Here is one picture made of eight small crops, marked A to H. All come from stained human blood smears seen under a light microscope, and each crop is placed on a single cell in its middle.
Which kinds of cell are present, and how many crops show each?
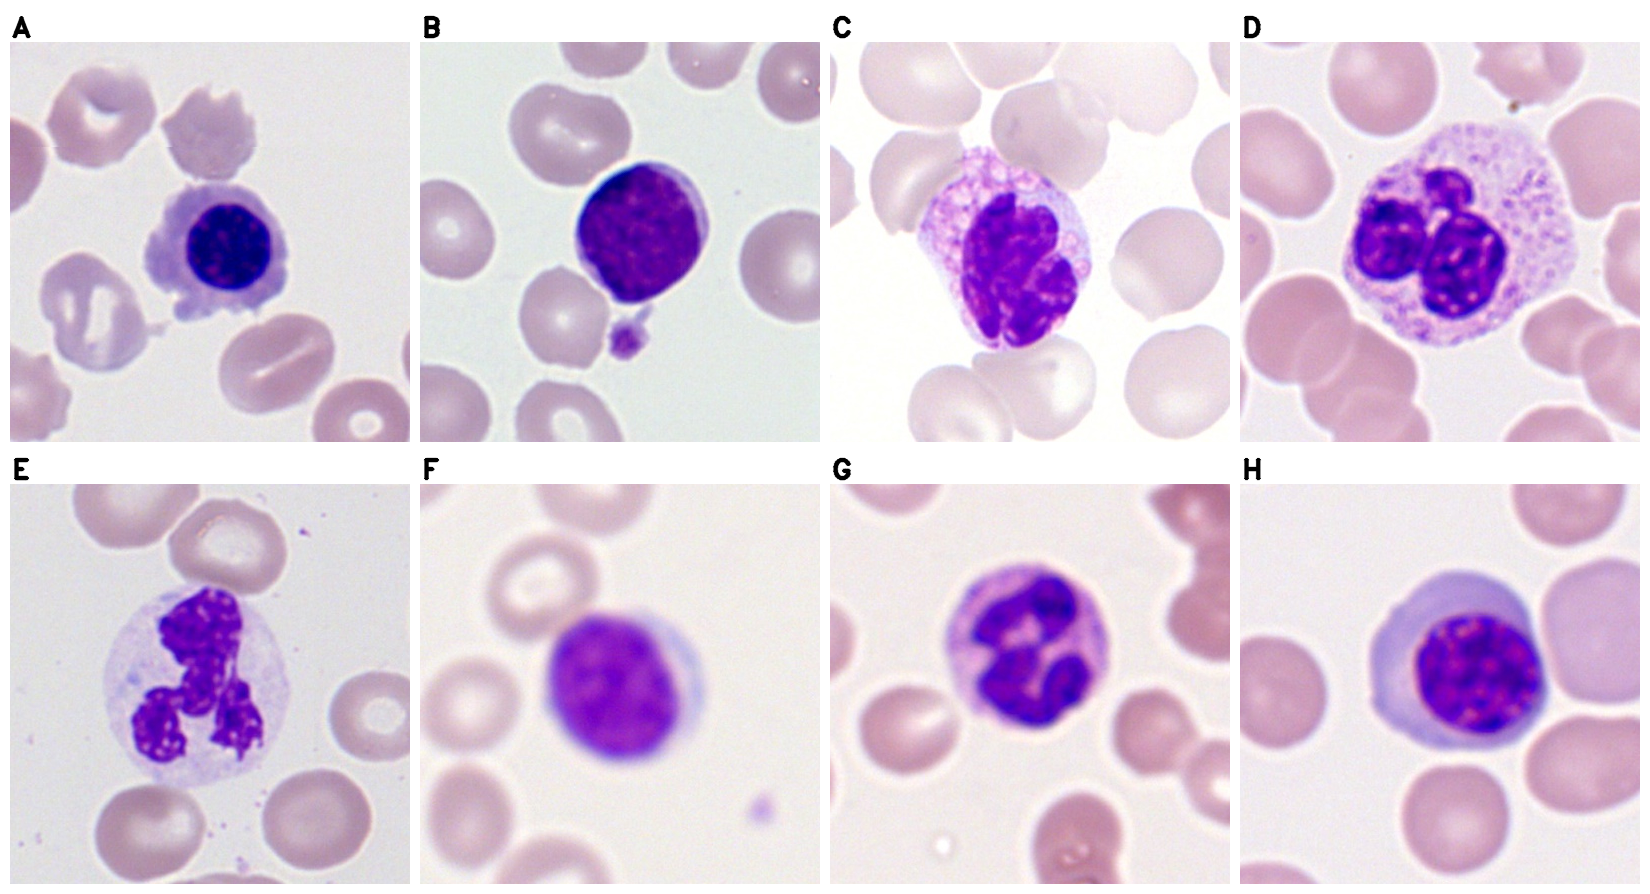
neutrophil: 3
normoblast: 2
lymphocyte: 2
basophil: 1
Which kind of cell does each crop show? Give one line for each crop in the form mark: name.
A: normoblast
B: lymphocyte
C: basophil
D: neutrophil
E: neutrophil
F: lymphocyte
G: neutrophil
H: normoblast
